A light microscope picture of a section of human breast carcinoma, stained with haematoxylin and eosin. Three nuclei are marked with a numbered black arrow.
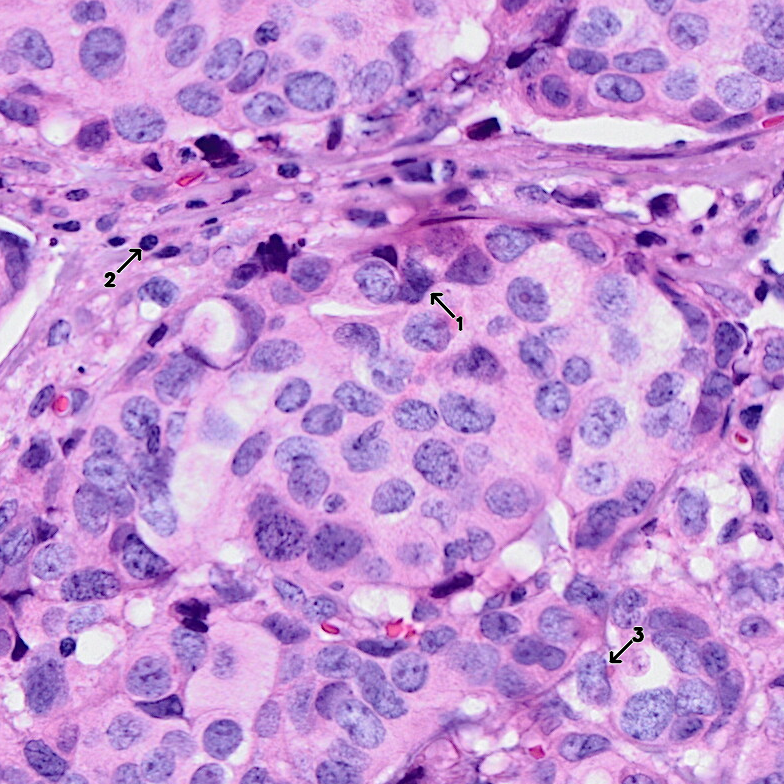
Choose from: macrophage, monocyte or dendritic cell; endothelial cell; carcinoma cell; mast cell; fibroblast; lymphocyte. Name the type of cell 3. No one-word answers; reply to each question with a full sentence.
The expected answer is that cell 3 is a carcinoma cell.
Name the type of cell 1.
Belonging to a carcinoma cell is the nucleus that carries the number 1.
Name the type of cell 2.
Here the cell numbered 2 is a lymphocyte.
